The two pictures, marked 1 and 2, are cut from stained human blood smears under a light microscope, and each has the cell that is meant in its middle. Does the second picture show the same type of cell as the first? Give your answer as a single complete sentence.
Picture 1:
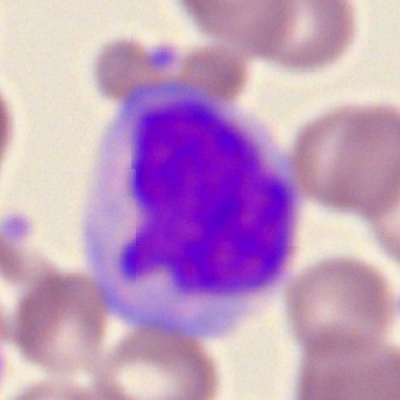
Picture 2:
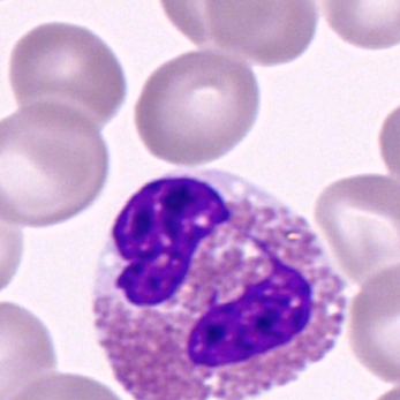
No. Picture 1 shows a monocyte, but picture 2 shows an eosinophil.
